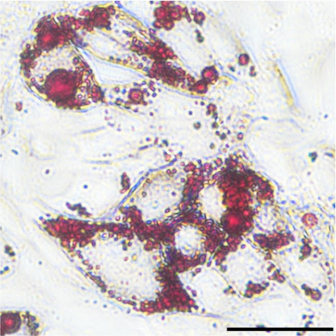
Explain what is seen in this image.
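The droplets range from tiny beads to larger globules, and within some cells they crowd together so densely that the cell appears as a red cluster. The fat-laden cells lie in groups, with paler, unstained cells and spaces between them.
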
